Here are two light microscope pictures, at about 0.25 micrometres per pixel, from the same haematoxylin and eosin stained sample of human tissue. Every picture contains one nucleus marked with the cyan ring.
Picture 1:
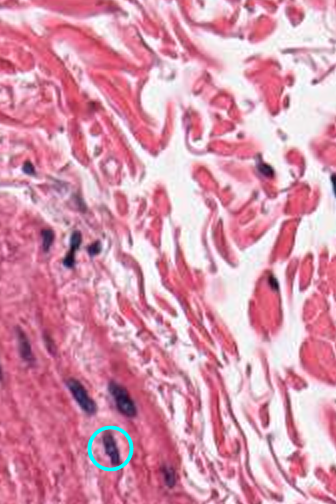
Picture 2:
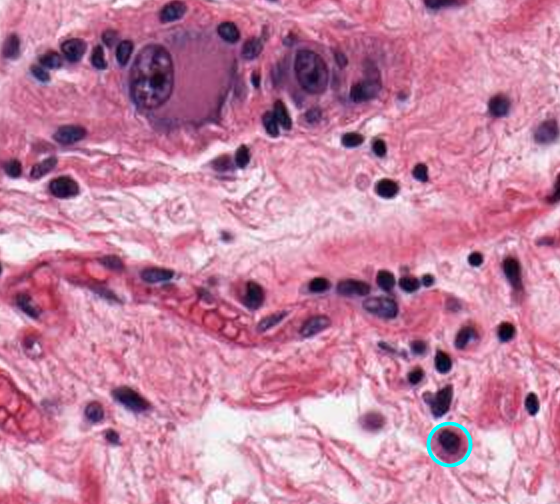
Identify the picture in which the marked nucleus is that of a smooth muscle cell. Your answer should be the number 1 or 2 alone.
1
